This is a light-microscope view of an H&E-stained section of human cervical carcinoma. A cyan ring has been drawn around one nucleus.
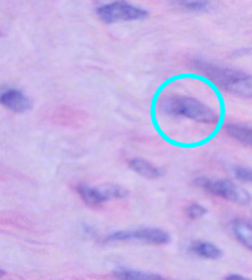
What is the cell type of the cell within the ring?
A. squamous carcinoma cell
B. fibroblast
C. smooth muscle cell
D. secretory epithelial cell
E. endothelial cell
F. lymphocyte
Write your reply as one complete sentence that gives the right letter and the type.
Option C matches the cell within the ring, which is a smooth muscle cell.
